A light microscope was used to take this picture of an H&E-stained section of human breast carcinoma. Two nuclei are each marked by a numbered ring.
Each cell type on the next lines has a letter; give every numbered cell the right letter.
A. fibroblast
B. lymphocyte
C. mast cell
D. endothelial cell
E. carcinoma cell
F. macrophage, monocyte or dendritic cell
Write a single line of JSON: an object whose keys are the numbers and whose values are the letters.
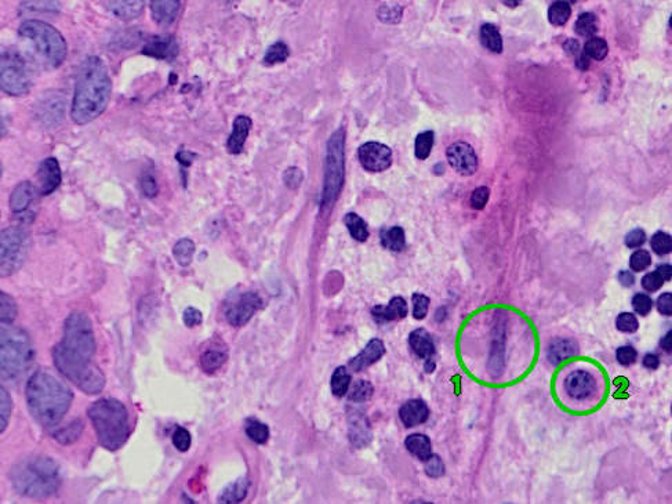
{"1": "A", "2": "C"}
